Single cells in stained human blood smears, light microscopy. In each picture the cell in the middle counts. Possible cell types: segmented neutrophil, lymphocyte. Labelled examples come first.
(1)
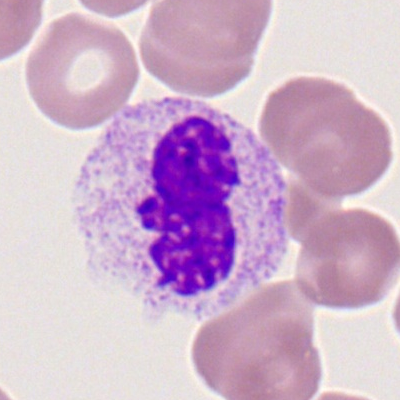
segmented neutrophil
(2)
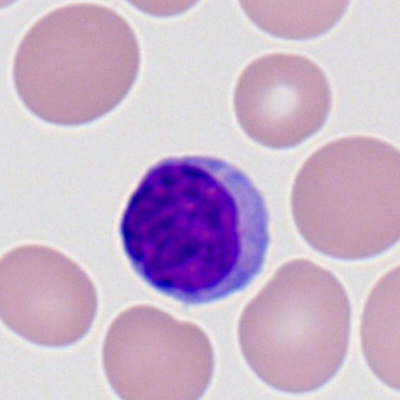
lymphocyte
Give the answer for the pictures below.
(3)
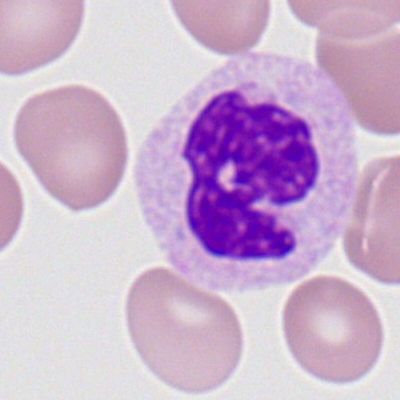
segmented neutrophil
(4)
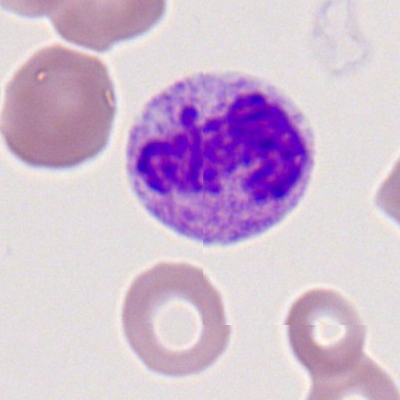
segmented neutrophil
